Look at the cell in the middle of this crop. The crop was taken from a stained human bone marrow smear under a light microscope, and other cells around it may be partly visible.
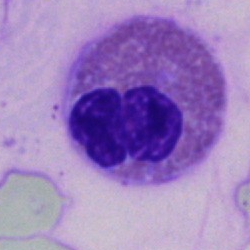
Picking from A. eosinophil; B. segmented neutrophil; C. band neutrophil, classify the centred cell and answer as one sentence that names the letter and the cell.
Option A is to be chosen, as the central cell is an eosinophil.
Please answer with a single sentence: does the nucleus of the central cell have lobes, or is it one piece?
The nuclear outline breaks up into two or more lobes.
